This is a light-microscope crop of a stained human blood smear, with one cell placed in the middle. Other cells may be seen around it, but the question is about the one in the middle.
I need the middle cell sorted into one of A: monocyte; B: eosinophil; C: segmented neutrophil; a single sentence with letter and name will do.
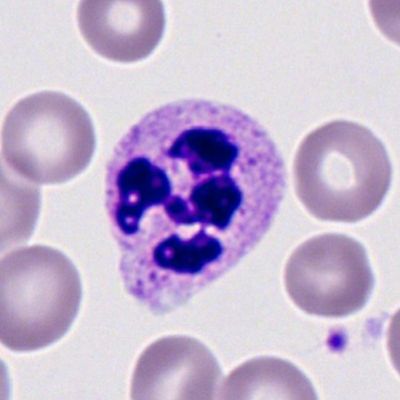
Well, the cell in the middle is a segmented neutrophil, making option C right.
